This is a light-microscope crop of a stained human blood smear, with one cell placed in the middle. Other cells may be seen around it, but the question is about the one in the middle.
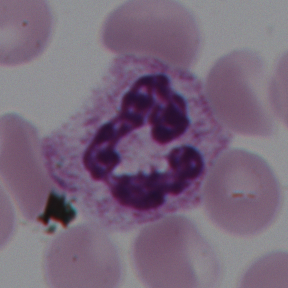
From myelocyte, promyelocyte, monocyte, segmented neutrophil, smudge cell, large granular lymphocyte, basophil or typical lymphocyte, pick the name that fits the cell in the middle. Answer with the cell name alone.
segmented neutrophil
